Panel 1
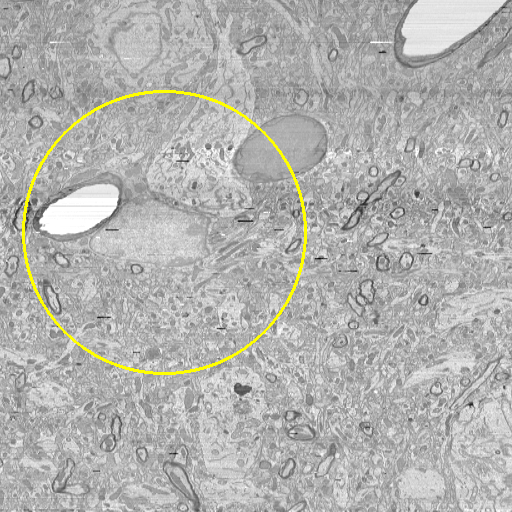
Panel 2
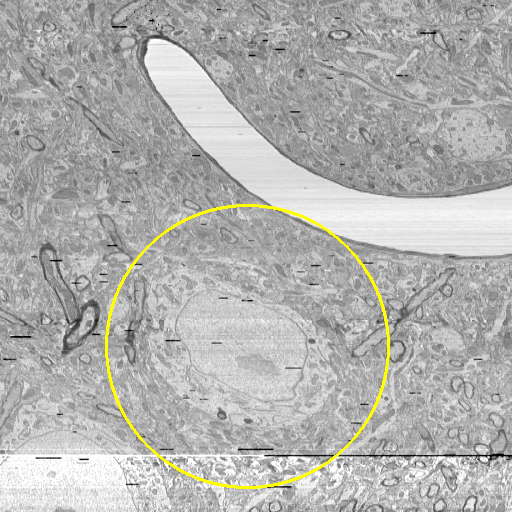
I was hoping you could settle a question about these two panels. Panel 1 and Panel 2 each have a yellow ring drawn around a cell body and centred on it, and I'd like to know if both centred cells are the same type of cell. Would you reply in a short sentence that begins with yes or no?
No, they are two types of cell.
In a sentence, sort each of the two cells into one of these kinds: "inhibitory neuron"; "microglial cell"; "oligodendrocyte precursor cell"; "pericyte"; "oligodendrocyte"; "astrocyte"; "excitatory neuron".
The first of the two cells is an astrocyte, and the second is an excitatory neuron.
